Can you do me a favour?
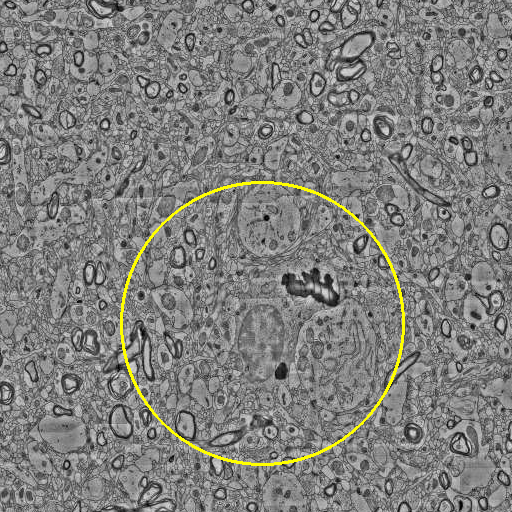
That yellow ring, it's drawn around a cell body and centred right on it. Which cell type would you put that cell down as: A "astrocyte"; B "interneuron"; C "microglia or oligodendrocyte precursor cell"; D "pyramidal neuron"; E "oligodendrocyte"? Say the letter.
E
